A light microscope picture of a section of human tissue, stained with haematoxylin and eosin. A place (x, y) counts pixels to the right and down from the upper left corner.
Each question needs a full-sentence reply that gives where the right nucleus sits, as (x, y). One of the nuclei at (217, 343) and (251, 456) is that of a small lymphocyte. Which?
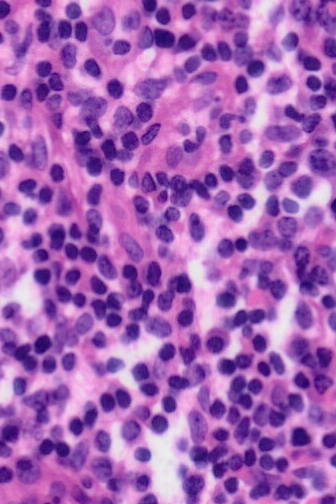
Between the pair, the nucleus at (251, 456) belongs to a small lymphocyte.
